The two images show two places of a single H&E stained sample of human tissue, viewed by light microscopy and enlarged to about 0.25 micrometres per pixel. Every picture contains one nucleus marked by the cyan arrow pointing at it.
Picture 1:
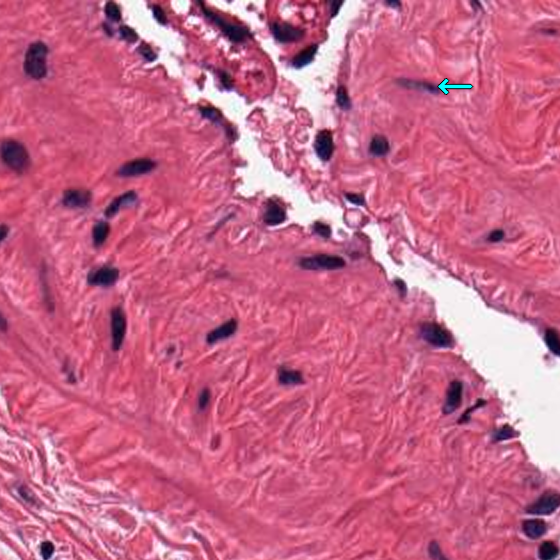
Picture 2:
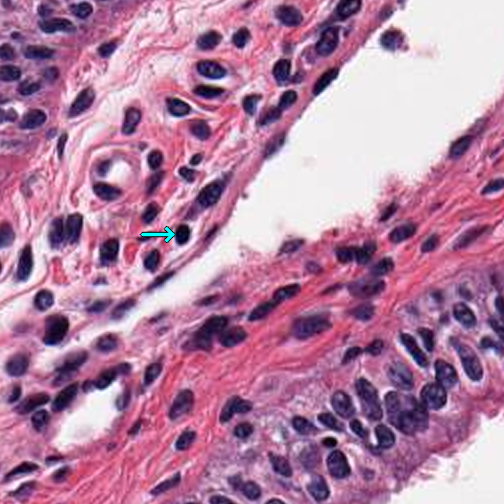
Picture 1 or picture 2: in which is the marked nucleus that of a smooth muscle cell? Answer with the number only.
1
